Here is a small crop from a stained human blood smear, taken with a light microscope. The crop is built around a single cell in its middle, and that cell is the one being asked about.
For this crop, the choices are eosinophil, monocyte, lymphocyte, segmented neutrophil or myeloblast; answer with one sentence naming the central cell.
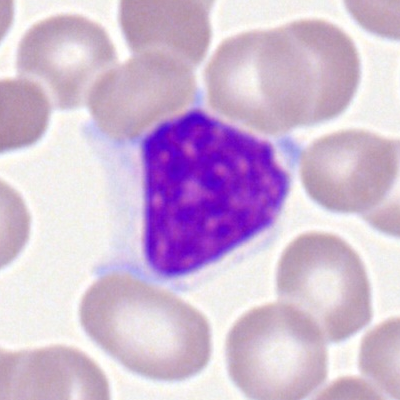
Classified as a lymphocyte is the cell in the middle of this crop.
